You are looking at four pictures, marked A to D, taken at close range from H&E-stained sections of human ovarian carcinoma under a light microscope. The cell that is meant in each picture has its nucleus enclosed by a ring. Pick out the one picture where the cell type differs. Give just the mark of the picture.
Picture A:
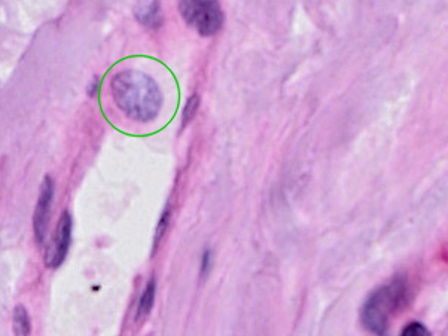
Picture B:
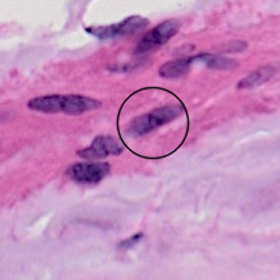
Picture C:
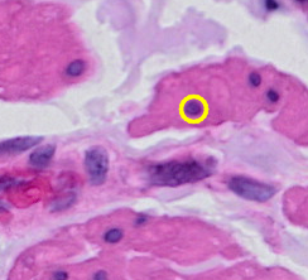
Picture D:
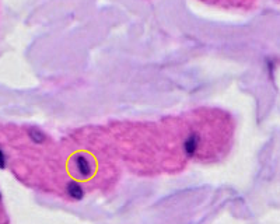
A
